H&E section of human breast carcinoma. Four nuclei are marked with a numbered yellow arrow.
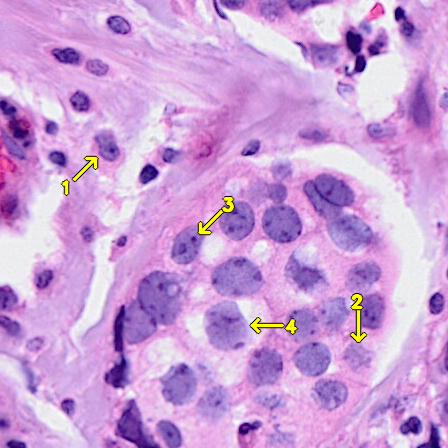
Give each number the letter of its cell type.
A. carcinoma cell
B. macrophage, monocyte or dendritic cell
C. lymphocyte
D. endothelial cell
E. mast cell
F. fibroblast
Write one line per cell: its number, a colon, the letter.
1: E
2: A
3: A
4: A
